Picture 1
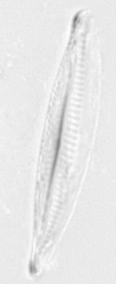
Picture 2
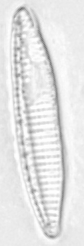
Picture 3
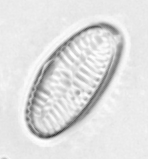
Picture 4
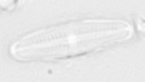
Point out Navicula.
That is picture 1.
